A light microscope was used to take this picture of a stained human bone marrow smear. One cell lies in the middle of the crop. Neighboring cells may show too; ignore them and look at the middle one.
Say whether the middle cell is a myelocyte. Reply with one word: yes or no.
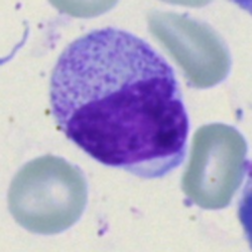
yes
